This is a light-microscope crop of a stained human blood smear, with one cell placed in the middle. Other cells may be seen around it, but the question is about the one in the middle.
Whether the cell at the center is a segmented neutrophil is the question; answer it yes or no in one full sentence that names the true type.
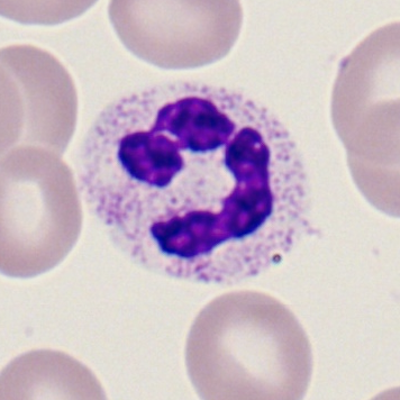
Yes, the middle cell is classified as a segmented neutrophil.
